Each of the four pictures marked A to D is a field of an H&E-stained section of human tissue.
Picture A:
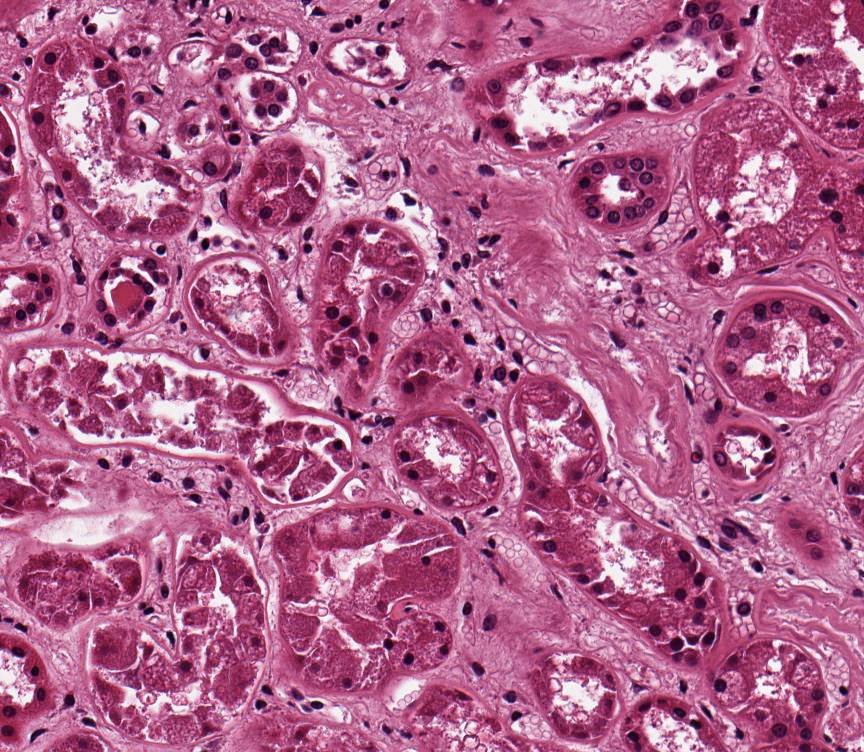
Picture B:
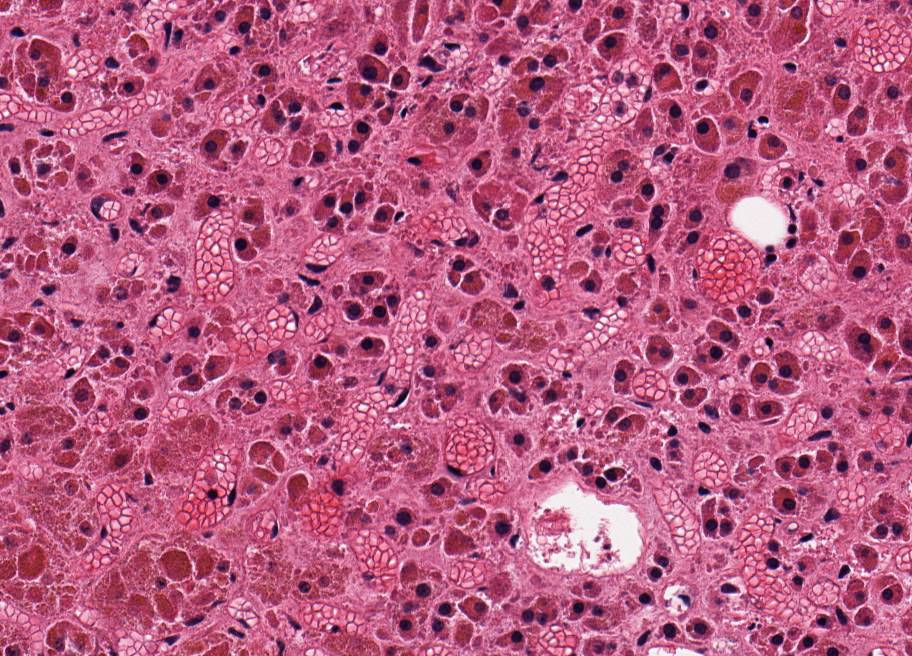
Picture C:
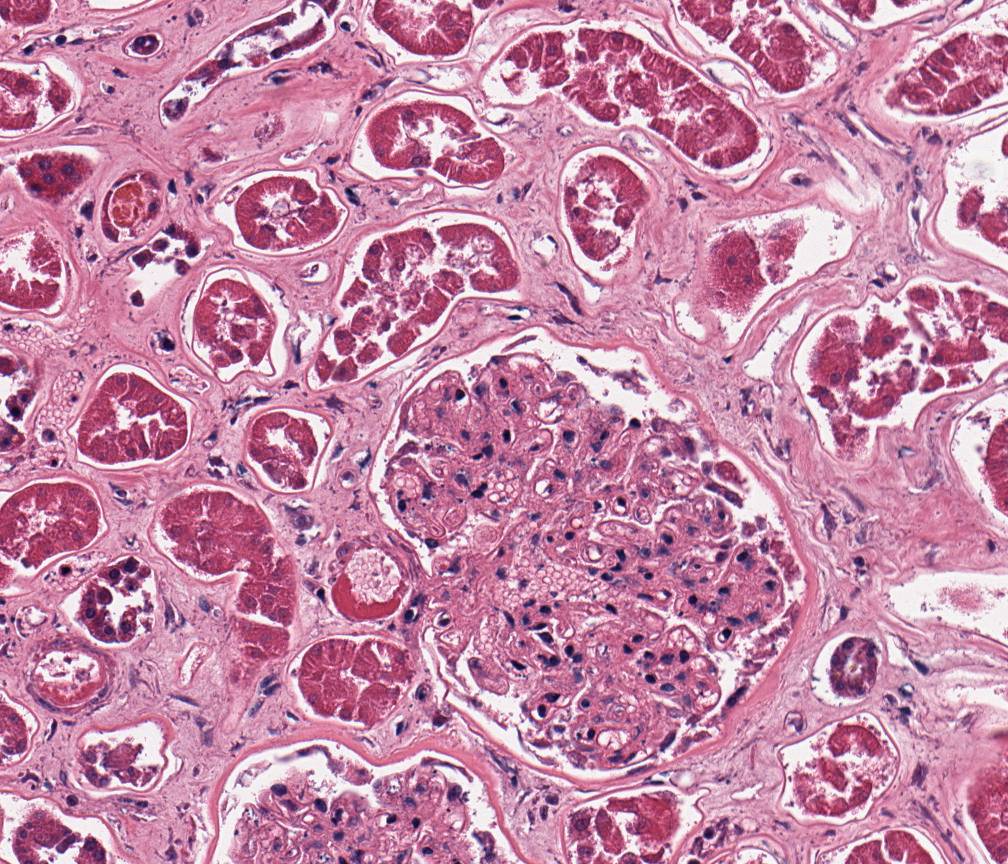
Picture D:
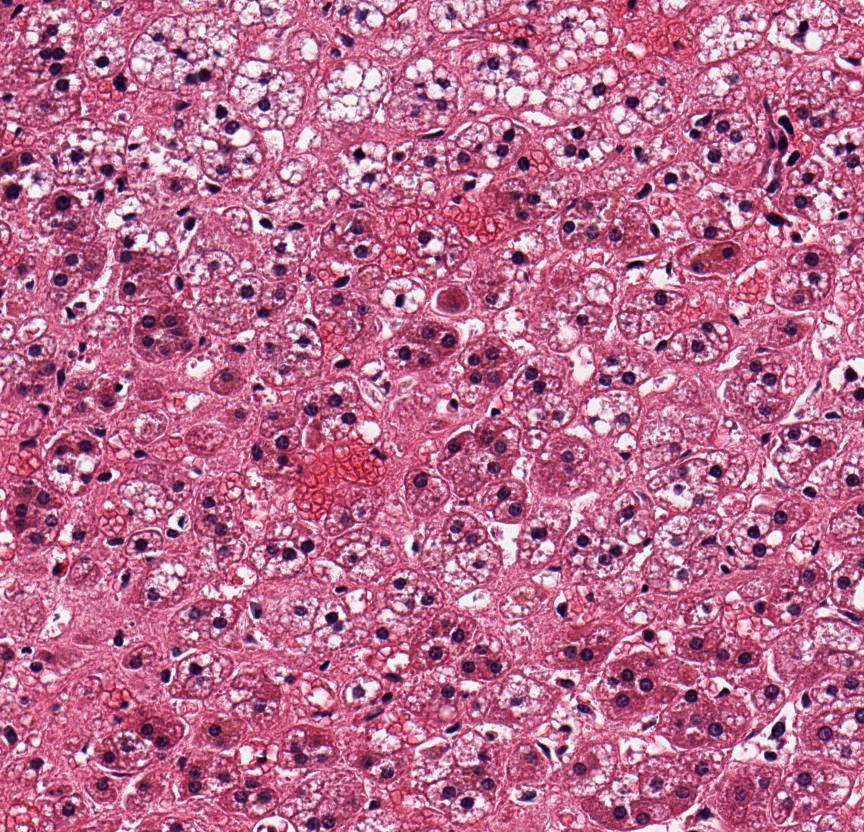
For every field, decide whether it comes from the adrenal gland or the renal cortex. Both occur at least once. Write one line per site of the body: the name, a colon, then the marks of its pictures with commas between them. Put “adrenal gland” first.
adrenal gland: B, D
renal cortex: A, C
